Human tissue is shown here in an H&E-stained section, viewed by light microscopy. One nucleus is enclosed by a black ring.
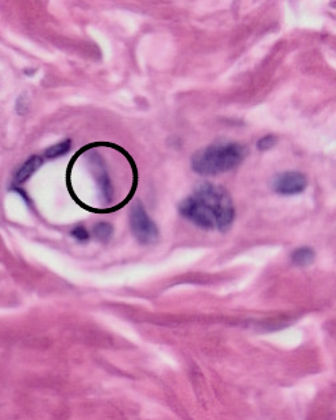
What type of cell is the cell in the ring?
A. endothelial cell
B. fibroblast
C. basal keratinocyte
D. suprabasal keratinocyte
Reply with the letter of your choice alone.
A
